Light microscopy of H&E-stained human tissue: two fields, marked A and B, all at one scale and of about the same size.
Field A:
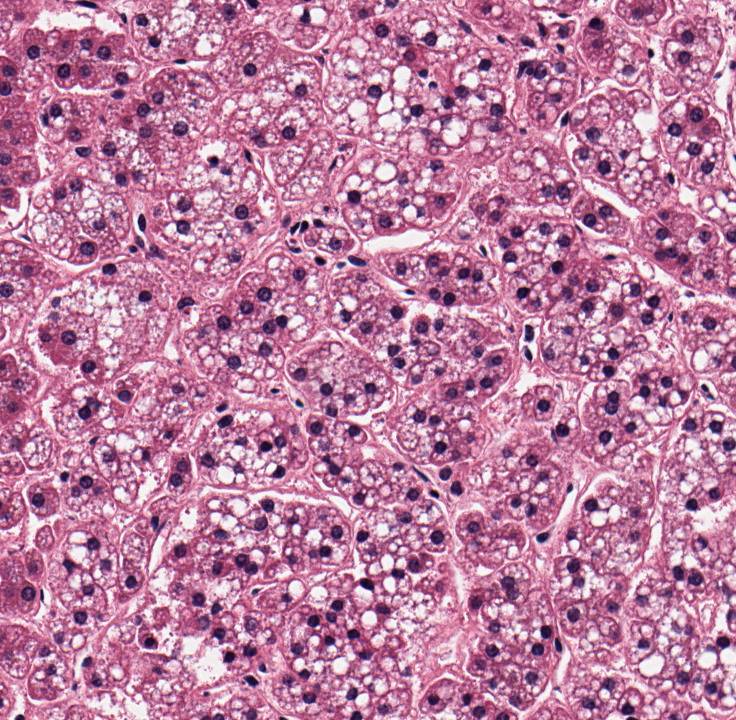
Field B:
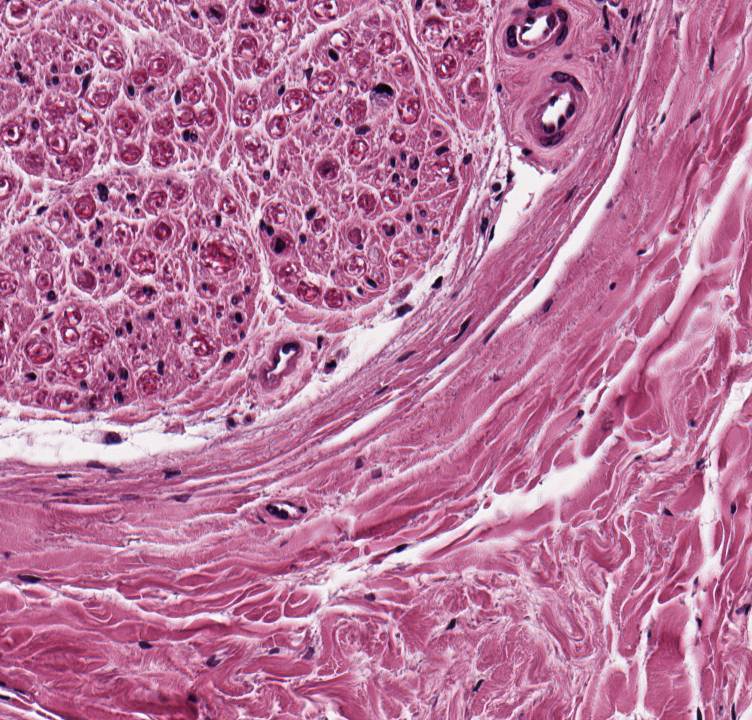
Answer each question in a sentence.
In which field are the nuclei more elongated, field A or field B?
Longer, more slender nuclei lie in field B.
